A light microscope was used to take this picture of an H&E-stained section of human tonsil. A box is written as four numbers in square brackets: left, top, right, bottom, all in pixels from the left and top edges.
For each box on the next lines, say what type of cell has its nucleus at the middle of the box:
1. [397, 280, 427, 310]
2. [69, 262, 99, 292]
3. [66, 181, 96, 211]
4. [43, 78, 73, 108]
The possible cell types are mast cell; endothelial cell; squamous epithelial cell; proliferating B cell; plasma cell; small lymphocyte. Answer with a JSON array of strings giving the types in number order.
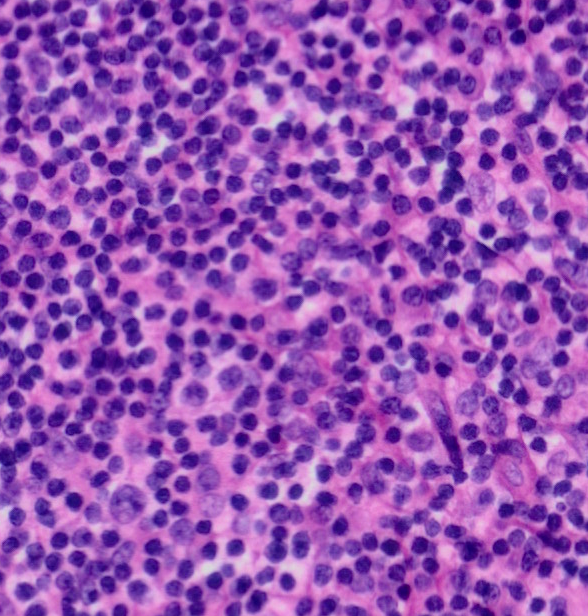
["plasma cell", "small lymphocyte", "small lymphocyte", "small lymphocyte"]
